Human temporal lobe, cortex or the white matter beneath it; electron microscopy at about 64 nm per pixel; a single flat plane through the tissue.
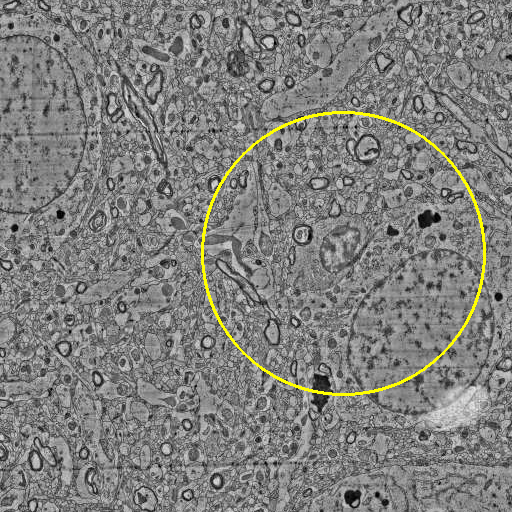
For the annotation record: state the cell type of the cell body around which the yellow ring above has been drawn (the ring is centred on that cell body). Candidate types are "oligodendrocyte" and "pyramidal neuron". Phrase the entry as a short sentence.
The ringed cell is an oligodendrocyte.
